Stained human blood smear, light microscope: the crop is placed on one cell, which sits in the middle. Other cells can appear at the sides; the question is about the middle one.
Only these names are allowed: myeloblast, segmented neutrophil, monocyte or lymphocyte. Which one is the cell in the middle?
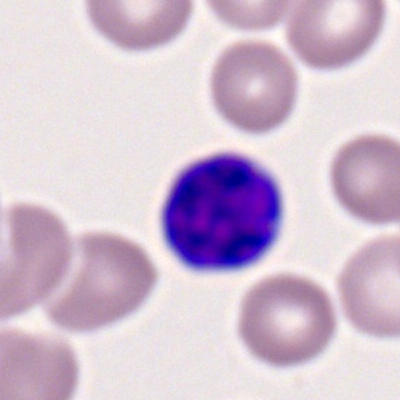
lymphocyte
